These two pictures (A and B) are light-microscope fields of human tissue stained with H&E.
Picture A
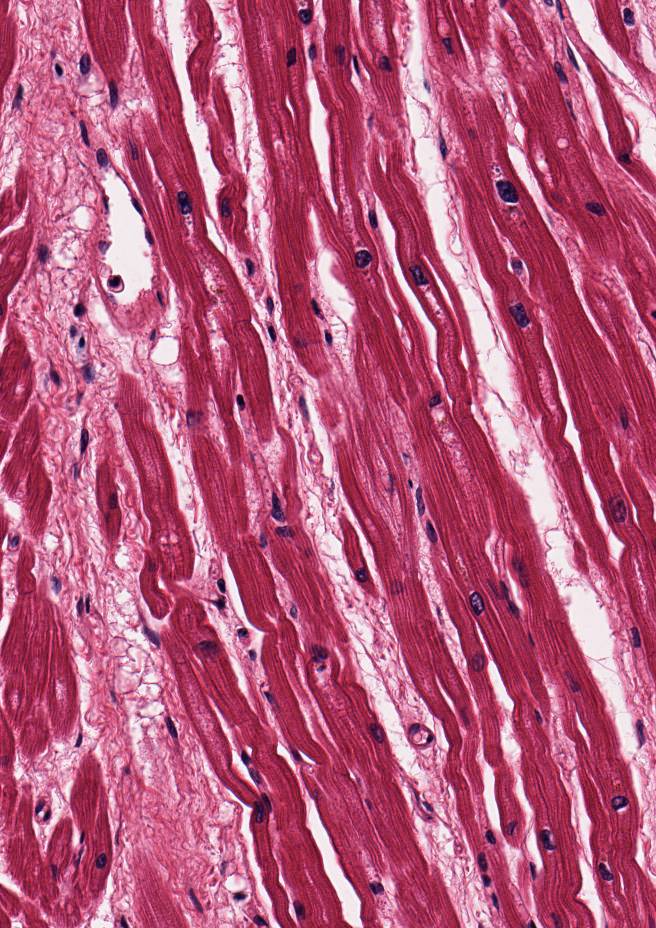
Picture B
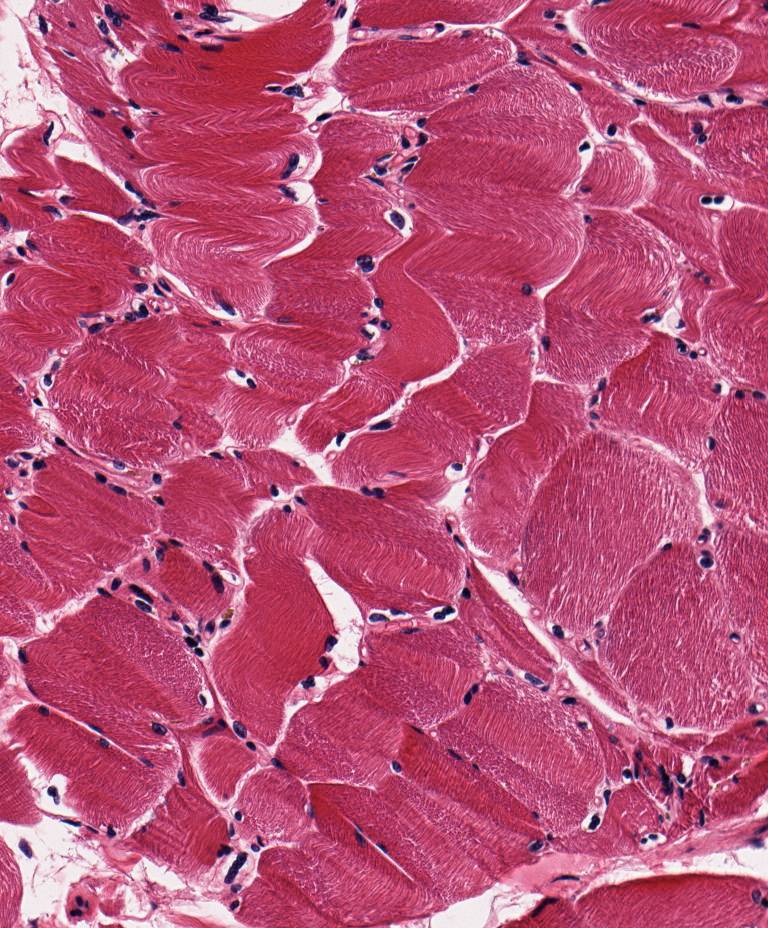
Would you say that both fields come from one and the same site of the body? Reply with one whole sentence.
No, picture A comes from the atrial appendage of the heart and picture B comes from skeletal muscle.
